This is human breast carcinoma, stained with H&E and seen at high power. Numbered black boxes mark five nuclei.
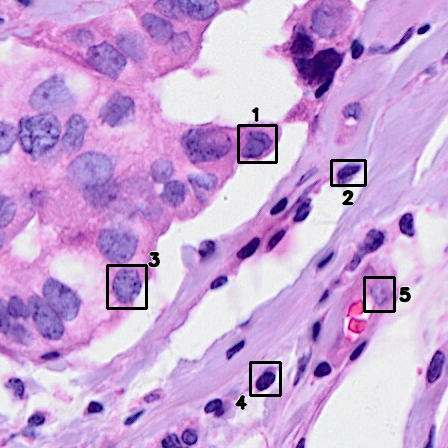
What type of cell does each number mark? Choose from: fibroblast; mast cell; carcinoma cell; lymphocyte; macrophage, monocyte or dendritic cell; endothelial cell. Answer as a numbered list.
1. carcinoma cell
2. lymphocyte
3. carcinoma cell
4. lymphocyte
5. endothelial cell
